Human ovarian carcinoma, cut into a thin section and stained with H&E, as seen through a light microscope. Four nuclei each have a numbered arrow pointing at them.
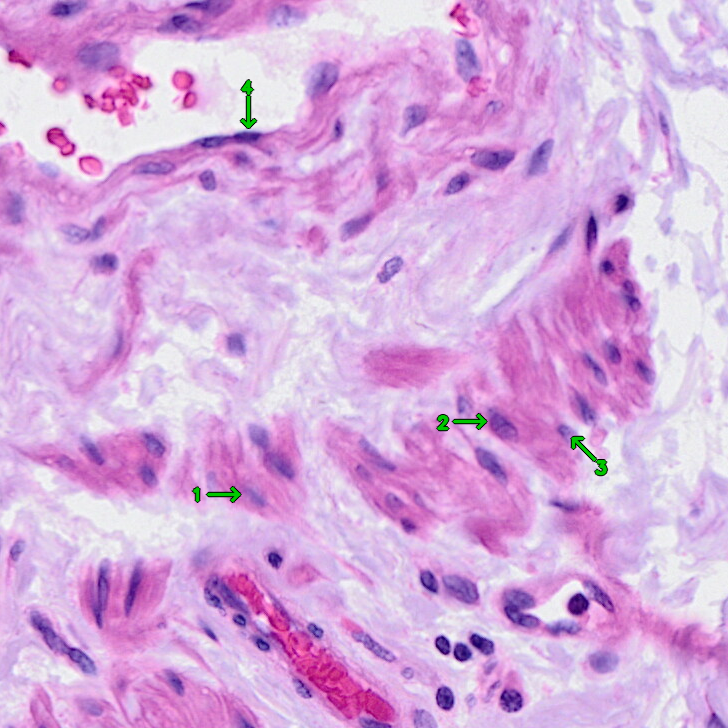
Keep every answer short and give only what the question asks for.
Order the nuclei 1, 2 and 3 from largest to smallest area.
2, 1, 3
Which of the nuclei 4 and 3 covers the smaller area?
3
